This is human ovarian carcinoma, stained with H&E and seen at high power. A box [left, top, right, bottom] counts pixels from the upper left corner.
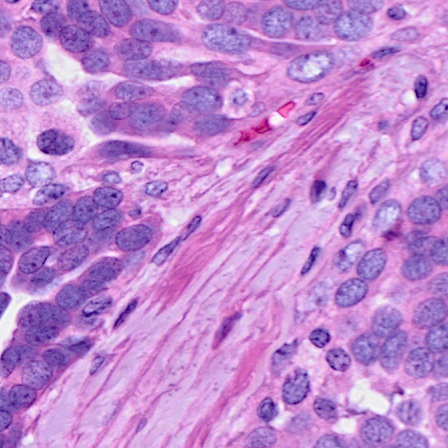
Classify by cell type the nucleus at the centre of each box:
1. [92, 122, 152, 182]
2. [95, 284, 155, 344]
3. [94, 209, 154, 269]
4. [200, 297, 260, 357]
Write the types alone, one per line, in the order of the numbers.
carcinoma cell
fibroblast
carcinoma cell
fibroblast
